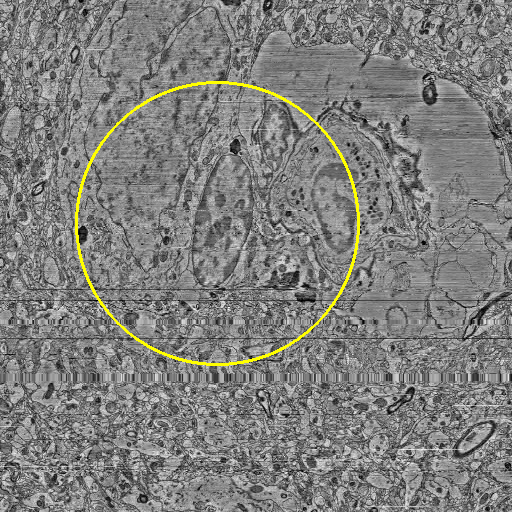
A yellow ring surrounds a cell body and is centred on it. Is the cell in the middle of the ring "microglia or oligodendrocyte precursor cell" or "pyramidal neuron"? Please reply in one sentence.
The ring is centred on a microglial cell or oligodendrocyte precursor cell.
